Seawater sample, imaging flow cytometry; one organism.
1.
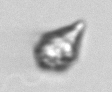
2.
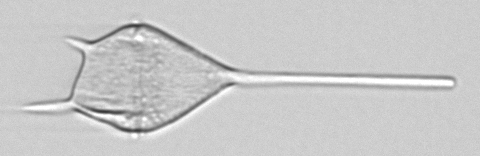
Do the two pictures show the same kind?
No: Scrippsiella, then Tripos.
